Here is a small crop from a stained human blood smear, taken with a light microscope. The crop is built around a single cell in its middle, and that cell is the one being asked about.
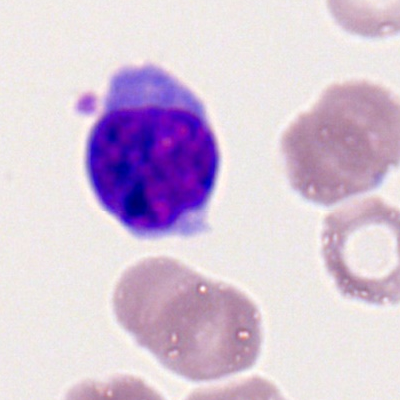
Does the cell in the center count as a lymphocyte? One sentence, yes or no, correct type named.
Yes, the identity of the central cell is that of a lymphocyte.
